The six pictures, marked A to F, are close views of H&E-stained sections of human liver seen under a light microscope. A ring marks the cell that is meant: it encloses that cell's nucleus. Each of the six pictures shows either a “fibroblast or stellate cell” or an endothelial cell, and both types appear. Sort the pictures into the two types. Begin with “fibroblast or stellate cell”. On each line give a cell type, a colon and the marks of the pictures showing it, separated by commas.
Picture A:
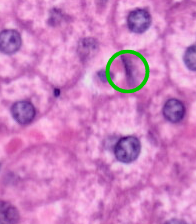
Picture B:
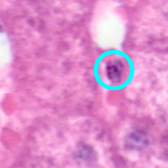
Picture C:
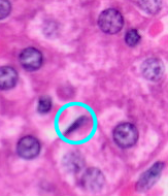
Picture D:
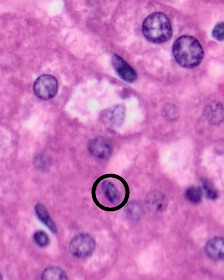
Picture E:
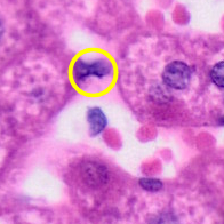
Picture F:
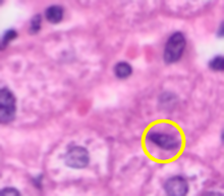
fibroblast or stellate cell: D, F
endothelial cell: A, B, C, E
